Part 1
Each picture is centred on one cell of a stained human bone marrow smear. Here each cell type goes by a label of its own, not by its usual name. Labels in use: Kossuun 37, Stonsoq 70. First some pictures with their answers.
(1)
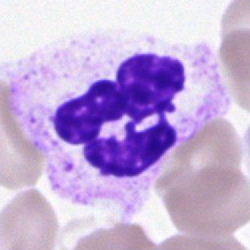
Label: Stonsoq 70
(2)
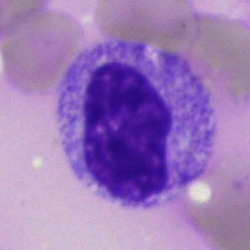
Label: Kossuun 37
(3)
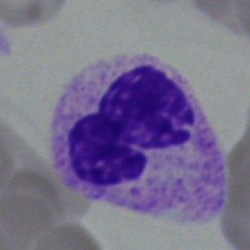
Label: Stonsoq 70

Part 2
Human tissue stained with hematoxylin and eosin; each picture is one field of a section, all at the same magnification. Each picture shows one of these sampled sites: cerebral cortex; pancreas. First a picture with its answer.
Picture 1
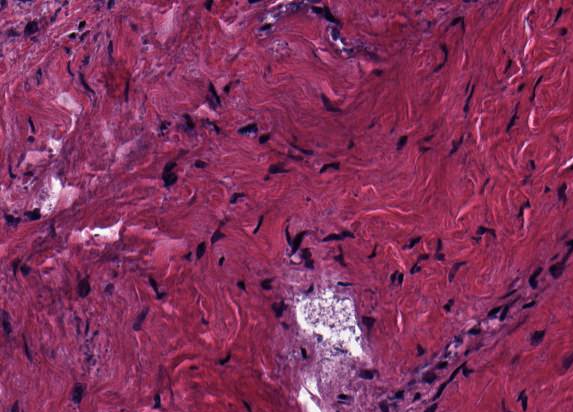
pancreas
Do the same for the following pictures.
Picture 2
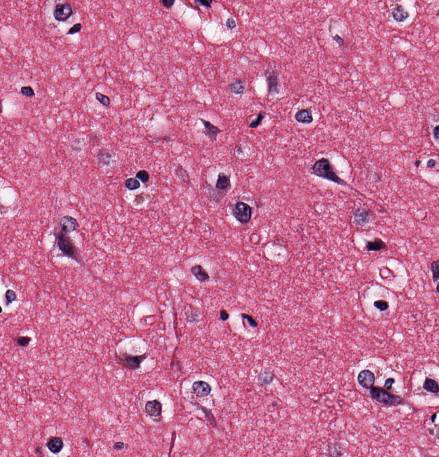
cerebral cortex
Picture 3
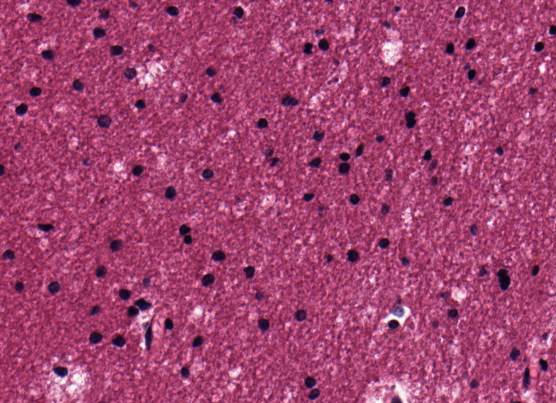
cerebral cortex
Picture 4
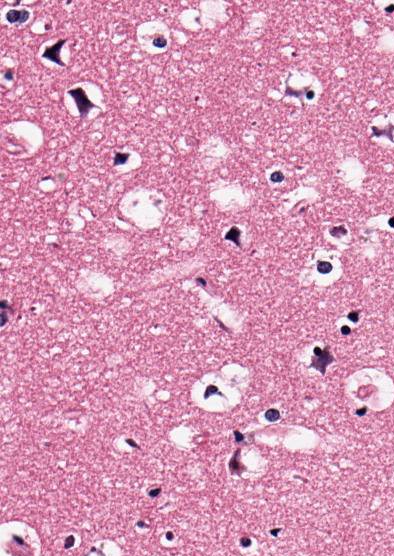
cerebral cortex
